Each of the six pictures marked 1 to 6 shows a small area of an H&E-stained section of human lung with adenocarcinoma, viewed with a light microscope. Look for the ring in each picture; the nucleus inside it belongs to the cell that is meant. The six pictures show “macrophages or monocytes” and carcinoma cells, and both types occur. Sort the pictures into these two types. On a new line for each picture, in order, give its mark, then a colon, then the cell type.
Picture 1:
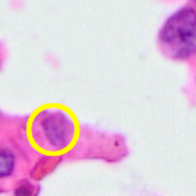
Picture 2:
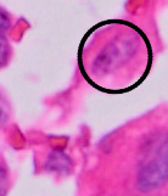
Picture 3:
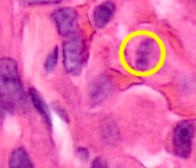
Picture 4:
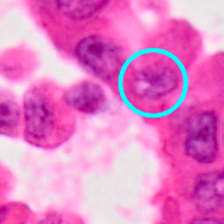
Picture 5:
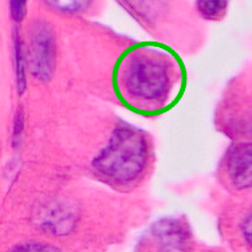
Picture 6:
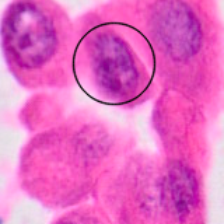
1: macrophage or monocyte
2: macrophage or monocyte
3: macrophage or monocyte
4: carcinoma cell
5: carcinoma cell
6: carcinoma cell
